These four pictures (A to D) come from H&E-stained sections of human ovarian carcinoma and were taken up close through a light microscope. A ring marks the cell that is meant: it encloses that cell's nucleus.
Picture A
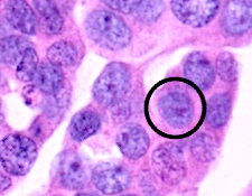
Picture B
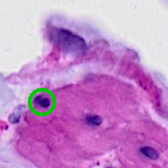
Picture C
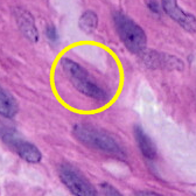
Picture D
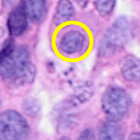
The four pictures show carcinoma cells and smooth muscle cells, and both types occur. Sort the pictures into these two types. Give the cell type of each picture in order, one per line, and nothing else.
carcinoma cell
smooth muscle cell
smooth muscle cell
carcinoma cell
